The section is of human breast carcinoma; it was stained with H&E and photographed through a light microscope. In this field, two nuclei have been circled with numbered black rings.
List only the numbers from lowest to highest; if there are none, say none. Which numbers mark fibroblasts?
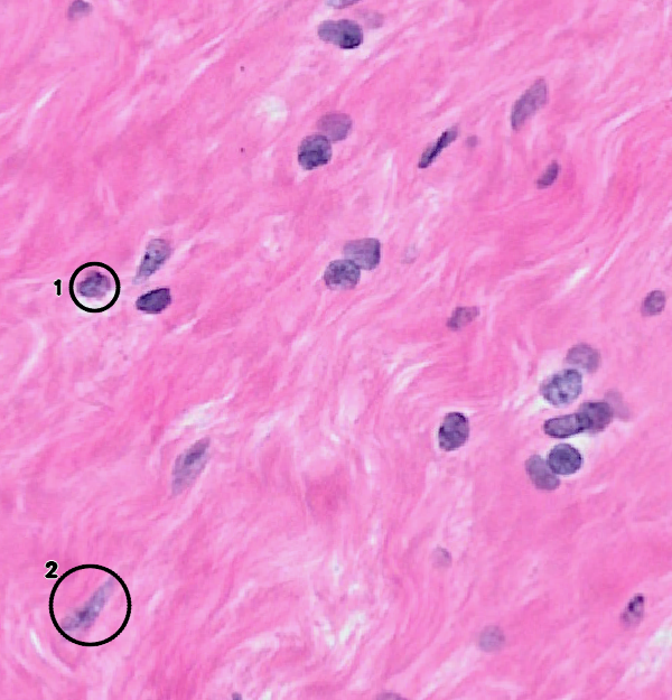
2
